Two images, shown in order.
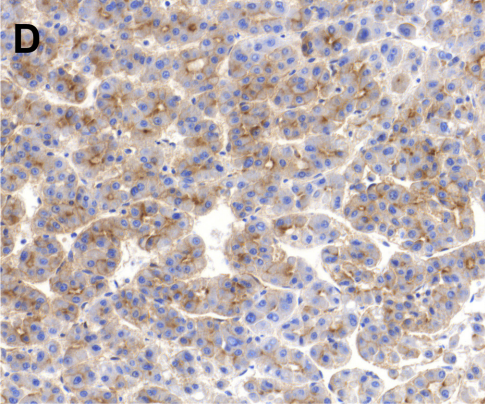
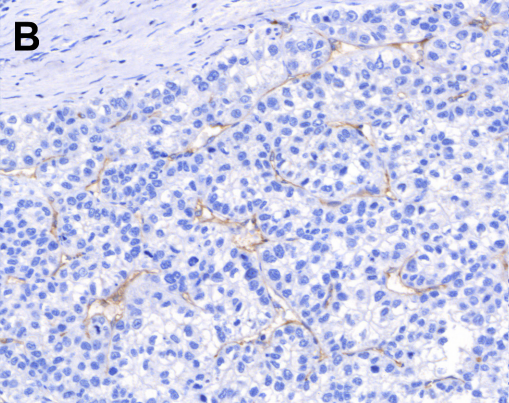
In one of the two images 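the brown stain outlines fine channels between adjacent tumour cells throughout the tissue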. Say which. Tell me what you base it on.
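The first image. Second image: brown stain follows only thin vessels between cell nests, with tumour cells unstained.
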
